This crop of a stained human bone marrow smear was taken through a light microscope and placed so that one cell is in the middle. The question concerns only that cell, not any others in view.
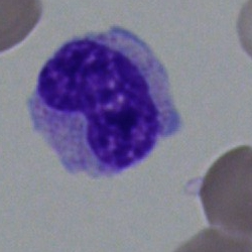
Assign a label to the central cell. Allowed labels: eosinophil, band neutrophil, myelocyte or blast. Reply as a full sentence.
What the crop centres on is a band neutrophil.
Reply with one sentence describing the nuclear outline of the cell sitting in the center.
A single compact nucleus, round, oval or kidney-shaped, is what this cell shows.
